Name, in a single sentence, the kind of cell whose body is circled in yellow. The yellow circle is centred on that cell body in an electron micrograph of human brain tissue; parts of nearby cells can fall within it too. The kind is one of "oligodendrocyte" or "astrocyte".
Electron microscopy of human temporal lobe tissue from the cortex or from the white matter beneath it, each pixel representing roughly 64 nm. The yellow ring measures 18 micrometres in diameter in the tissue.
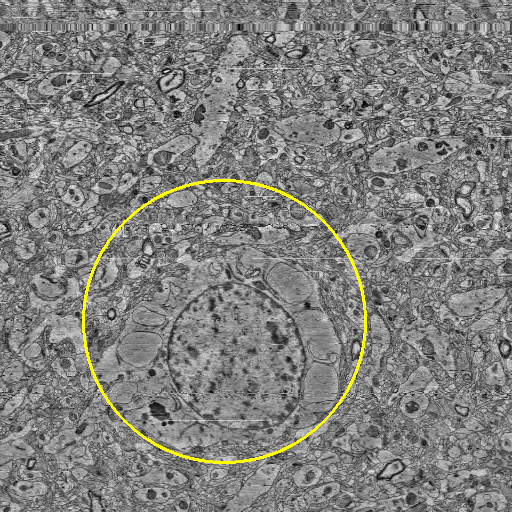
The circled cell body belongs to an astrocyte.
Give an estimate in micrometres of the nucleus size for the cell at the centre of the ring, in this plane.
About 10 by 9 micrometers for the nucleus, in this plane.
